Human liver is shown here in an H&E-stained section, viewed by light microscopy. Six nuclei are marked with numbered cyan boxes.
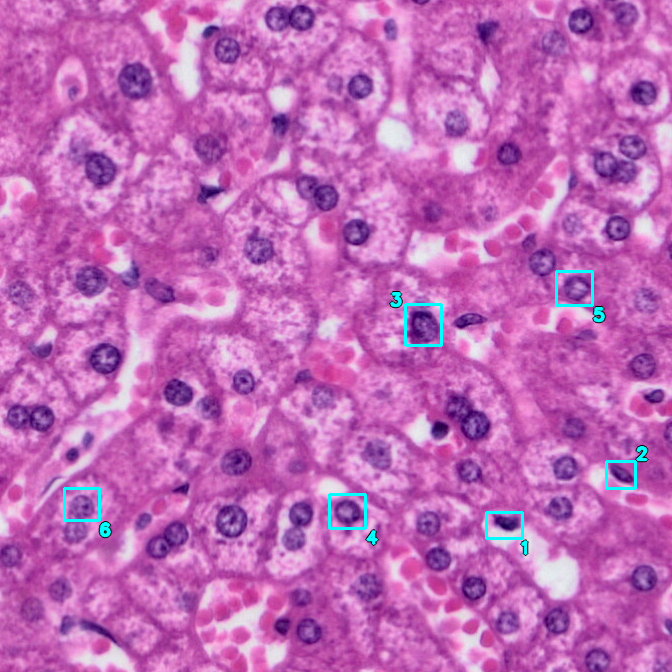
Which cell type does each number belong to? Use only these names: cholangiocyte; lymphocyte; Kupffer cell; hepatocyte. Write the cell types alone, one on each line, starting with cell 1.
lymphocyte
Kupffer cell
hepatocyte
hepatocyte
hepatocyte
hepatocyte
